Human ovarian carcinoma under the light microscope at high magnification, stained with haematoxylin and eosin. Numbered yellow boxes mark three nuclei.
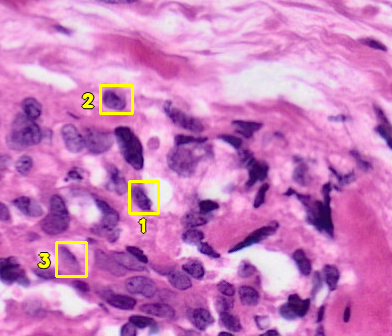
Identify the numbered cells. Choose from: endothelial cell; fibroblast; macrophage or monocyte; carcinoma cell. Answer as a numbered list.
1. carcinoma cell
2. macrophage or monocyte
3. macrophage or monocyte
